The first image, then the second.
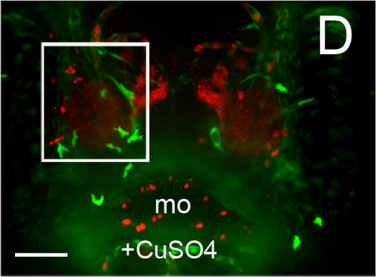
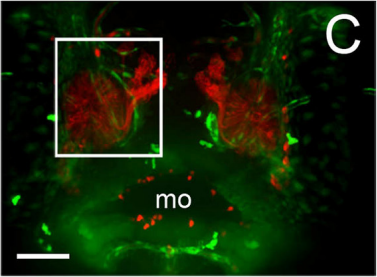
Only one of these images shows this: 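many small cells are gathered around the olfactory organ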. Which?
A: The first image.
